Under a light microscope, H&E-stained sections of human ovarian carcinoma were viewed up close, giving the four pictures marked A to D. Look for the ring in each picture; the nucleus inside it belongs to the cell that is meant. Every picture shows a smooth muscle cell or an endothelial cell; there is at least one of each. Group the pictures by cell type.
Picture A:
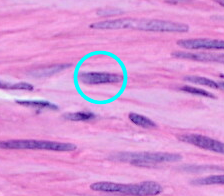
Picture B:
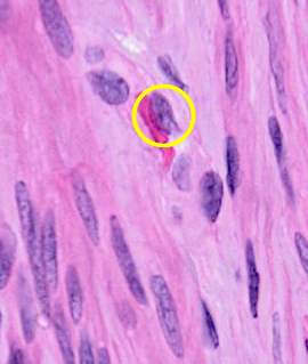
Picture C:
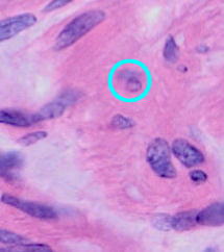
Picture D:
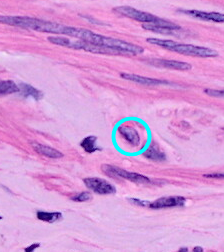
A: smooth muscle cell
B: endothelial cell
C: smooth muscle cell
D: endothelial cell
